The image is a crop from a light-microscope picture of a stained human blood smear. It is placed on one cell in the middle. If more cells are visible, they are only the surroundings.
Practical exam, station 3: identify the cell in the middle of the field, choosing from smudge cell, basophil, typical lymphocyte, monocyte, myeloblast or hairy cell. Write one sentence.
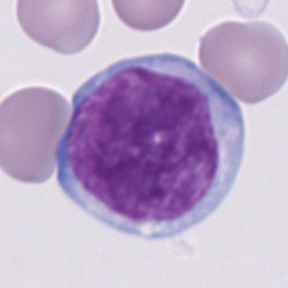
In short, the cell at the center is a myeloblast.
